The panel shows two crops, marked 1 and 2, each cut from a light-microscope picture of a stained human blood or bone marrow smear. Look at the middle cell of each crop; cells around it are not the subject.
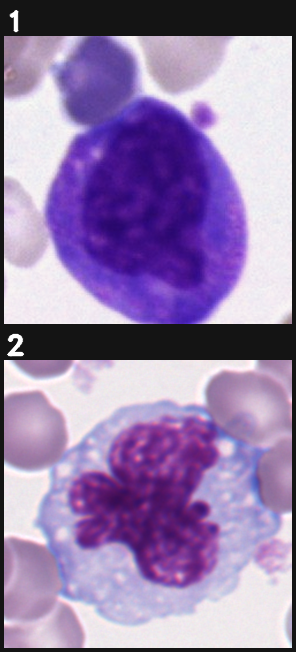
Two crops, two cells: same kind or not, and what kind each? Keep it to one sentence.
Yes, what both crops show at their centres are monocytes.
